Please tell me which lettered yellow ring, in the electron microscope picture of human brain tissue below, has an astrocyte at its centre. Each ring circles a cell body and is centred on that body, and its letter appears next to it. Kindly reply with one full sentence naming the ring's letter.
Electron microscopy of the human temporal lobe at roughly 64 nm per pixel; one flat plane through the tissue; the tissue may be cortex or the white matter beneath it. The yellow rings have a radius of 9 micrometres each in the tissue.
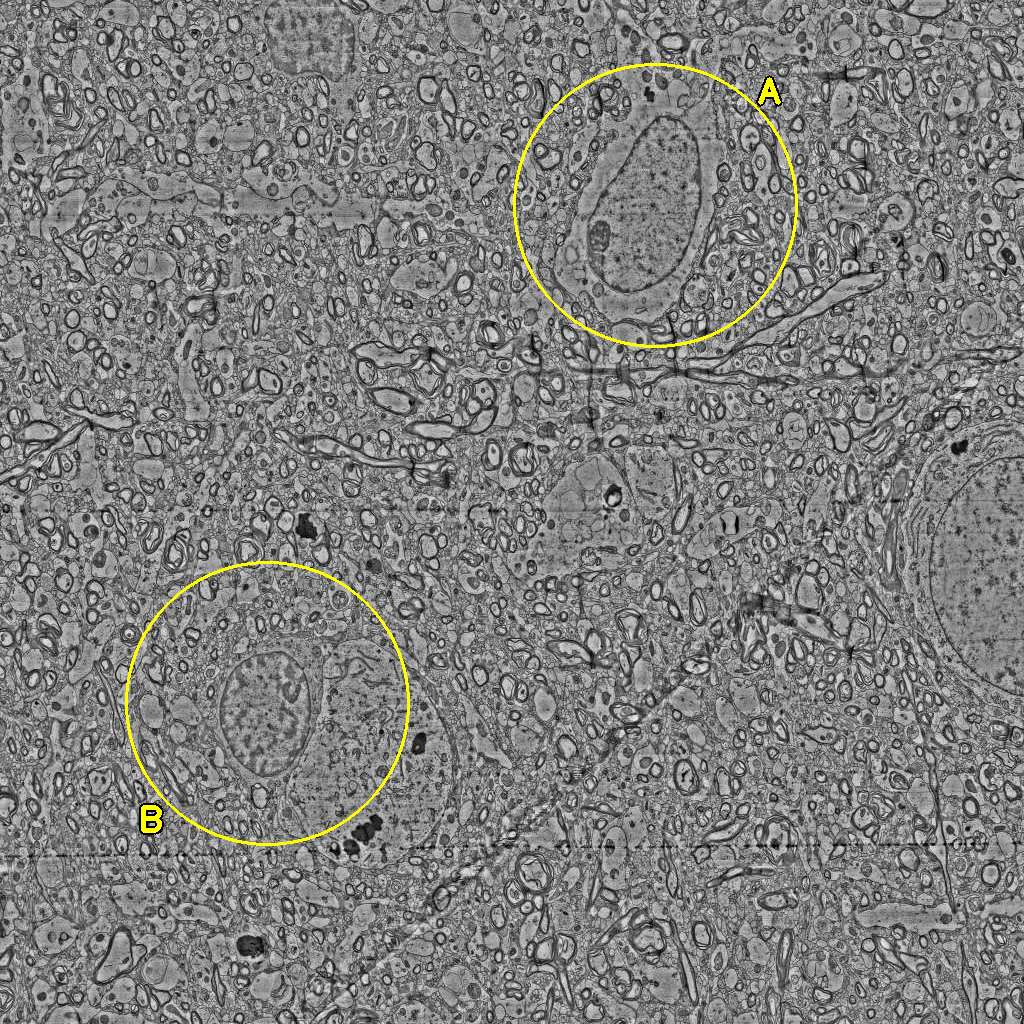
Ring A has the cell asked for at its centre.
